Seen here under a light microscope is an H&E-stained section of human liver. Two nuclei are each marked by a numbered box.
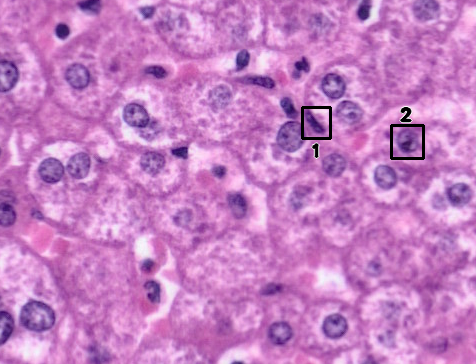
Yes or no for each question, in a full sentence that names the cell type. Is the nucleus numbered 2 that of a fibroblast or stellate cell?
No, the identification of cell 2 as a fibroblast or stellate cell is incorrect; it is a hepatocyte.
